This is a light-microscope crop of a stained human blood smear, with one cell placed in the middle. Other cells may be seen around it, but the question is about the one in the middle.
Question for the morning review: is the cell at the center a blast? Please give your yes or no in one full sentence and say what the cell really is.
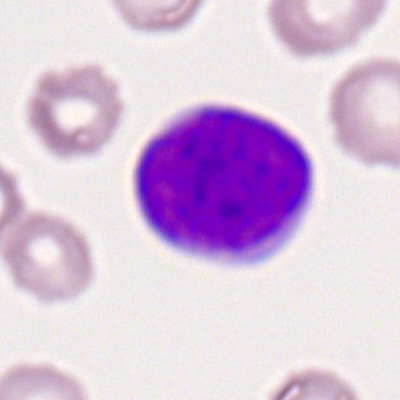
Yes, the cell that occupies the centre is a blast.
